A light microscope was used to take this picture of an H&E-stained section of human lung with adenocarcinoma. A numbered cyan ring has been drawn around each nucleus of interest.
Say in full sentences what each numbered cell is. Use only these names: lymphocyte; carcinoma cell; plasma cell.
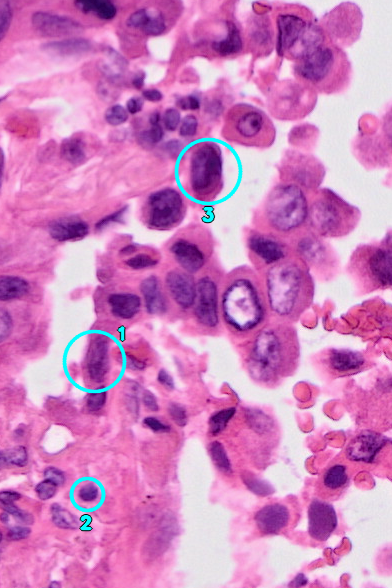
Cell 1 is a carcinoma cell, cell 2 is a lymphocyte and cell 3 is a carcinoma cell.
